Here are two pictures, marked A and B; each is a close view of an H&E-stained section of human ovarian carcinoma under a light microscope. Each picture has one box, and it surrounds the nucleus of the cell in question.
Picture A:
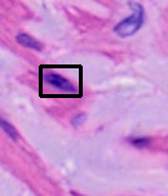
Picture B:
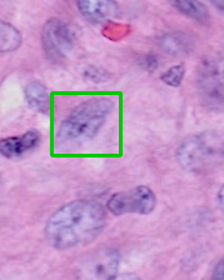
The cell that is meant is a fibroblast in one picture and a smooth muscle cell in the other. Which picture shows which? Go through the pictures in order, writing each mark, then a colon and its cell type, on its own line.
A: smooth muscle cell
B: fibroblast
